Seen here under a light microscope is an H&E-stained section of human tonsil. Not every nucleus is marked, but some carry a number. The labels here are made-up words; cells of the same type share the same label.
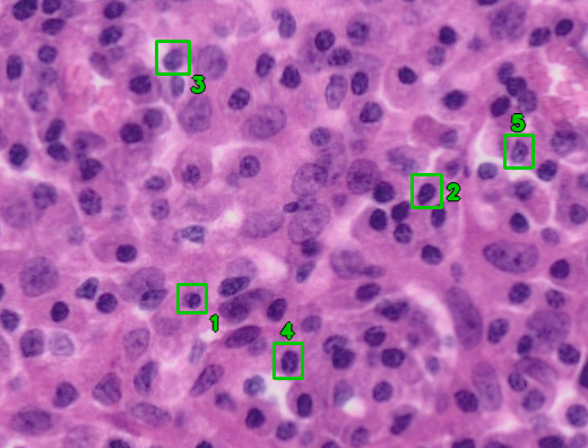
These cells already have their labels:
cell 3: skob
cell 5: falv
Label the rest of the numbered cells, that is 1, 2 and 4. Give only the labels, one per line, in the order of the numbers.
skob
falv
falv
